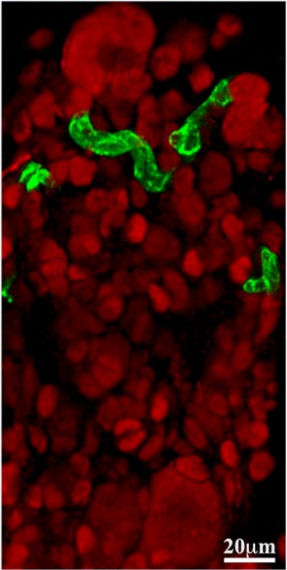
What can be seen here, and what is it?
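The nuclei vary greatly in size and shape, from small oval ones to giant, rounded nuclei much larger than their neighbours, some with irregular folded outlines. Little space separates the nuclei, giving a compact, crowded appearance. The green vessels are short, winding tubular segments lying among the nuclei.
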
